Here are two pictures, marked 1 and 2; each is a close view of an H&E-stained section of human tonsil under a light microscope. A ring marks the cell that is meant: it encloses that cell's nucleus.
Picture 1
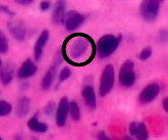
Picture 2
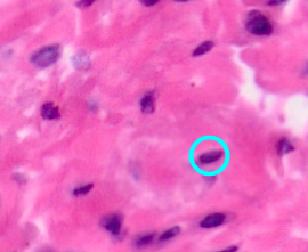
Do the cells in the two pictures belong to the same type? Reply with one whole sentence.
No, picture 1 shows a squamous epithelial cell and picture 2 shows a mast cell.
